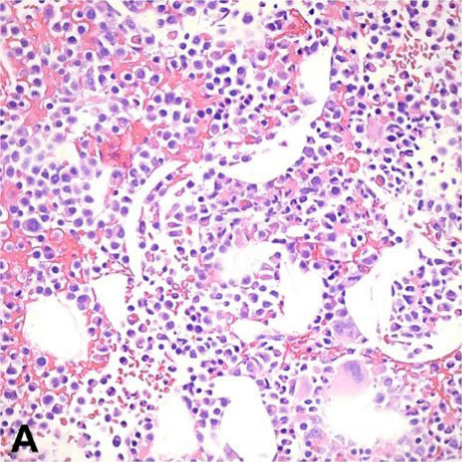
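Hypercellular bone marrow with interstitial sheets of plasma cells between fat spaces and thin-walled vessels. Occasional large megakaryocytes with lobulated nuclei and abundant pale pink cytoplasm remain scattered among them. Red cells and eosinophilic interstitial material fill gaps between cell clusters. Clear rounded spaces of fat cells are distributed through the field.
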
